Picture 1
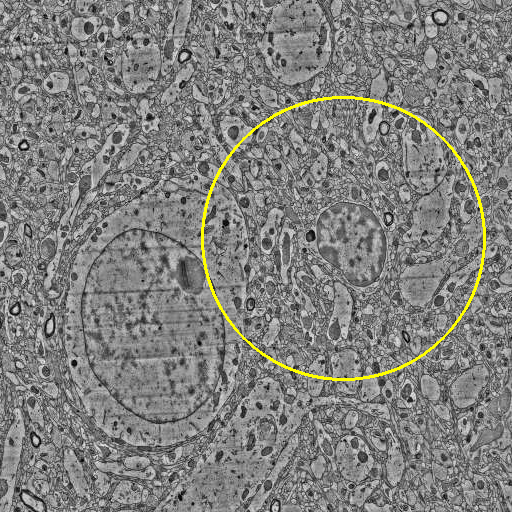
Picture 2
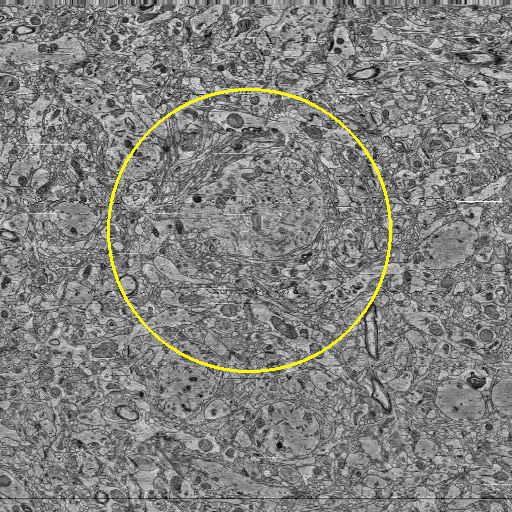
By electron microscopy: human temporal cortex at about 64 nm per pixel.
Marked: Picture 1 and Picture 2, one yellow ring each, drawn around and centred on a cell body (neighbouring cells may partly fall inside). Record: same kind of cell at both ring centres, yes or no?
yes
